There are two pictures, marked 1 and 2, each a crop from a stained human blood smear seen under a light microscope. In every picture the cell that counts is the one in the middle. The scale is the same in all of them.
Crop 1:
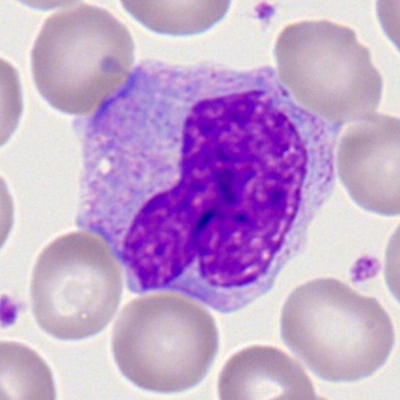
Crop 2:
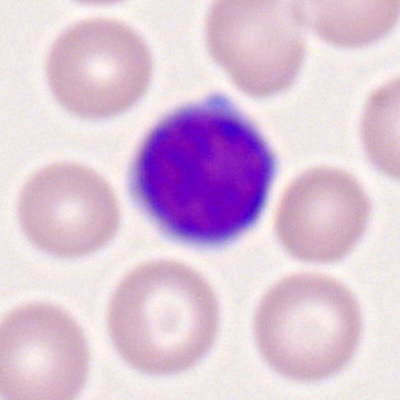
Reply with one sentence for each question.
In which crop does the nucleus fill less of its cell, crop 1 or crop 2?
It is the cell in crop 1 that is filled less by its nucleus.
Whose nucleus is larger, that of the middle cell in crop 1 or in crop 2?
The nucleus in crop 1 is larger, with about 1.5 times the area of the one in crop 2.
